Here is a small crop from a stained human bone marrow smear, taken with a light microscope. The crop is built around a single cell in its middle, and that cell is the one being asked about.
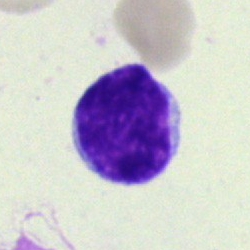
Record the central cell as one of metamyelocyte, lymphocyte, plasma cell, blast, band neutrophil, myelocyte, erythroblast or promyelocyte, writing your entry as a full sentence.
In the middle of this smear crop, the cell is a lymphocyte.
